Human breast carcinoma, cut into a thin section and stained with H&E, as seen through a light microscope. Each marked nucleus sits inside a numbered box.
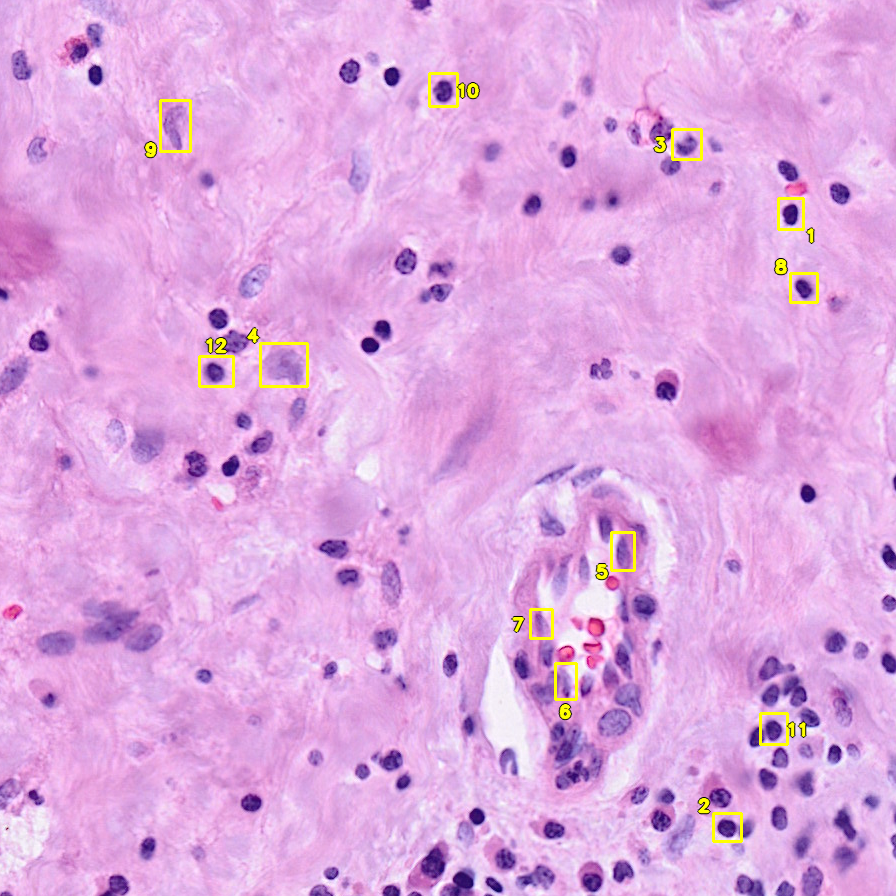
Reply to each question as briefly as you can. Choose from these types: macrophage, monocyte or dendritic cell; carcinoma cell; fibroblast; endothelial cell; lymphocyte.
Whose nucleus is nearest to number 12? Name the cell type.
macrophage, monocyte or dendritic cell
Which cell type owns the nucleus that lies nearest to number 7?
endothelial cell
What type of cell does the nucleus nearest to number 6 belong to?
endothelial cell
